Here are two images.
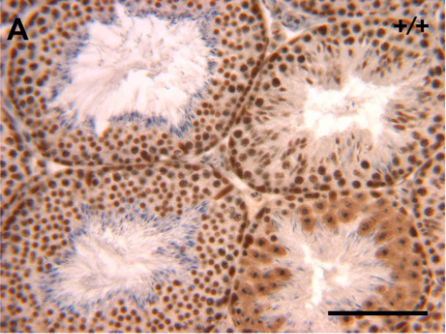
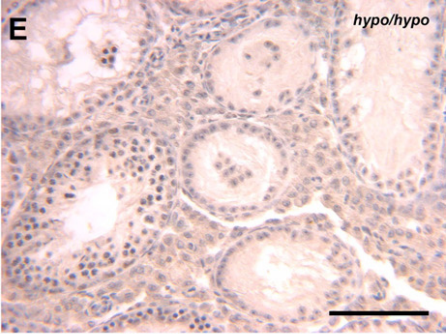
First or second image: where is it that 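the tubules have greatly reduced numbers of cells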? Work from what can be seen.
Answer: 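Second image: tubules are small, with a thin, sparse epithelium and empty-looking lumens. First image: tubules are large, packed with many layers of cells and sperm tails filling the lumens.
Answer: the second image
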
